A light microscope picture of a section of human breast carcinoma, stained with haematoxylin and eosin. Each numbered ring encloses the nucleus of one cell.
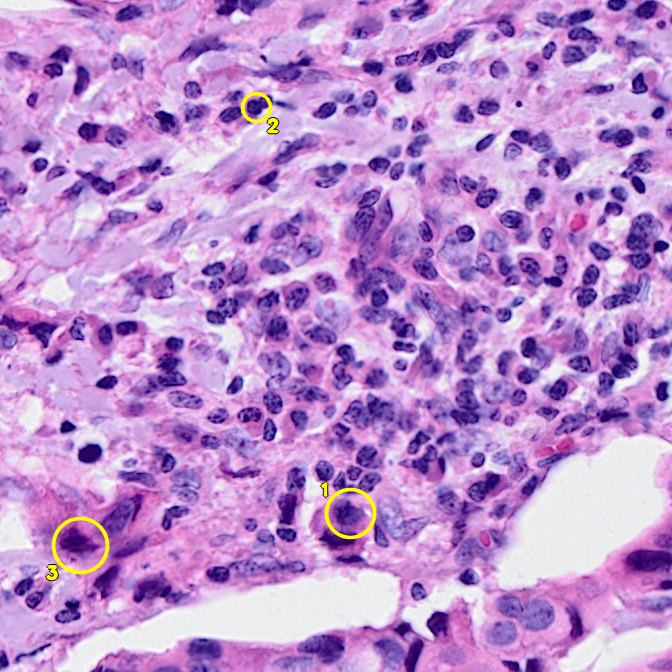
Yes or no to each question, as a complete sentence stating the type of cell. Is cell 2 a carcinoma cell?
No, the cell with number 2 is not a carcinoma cell but a lymphocyte.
